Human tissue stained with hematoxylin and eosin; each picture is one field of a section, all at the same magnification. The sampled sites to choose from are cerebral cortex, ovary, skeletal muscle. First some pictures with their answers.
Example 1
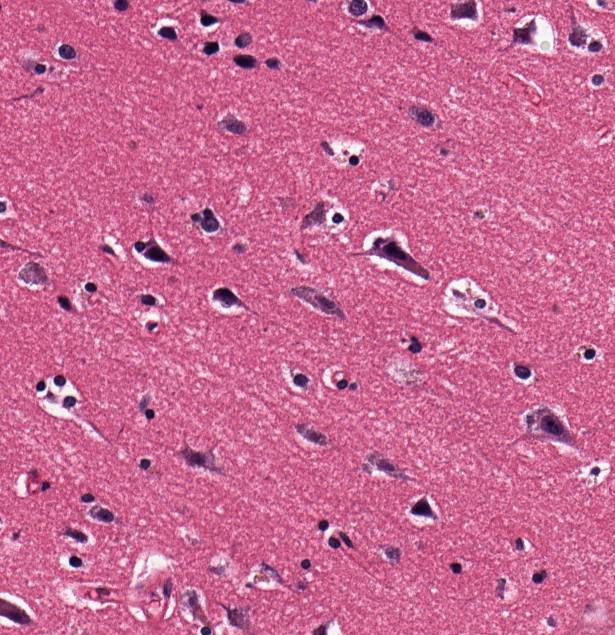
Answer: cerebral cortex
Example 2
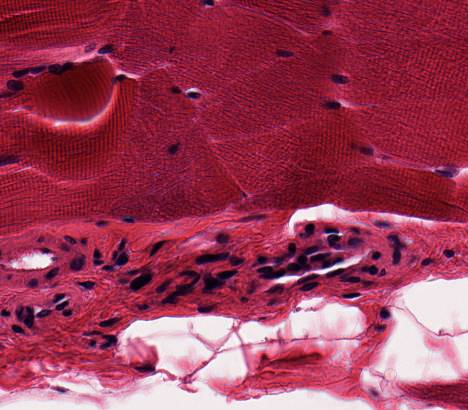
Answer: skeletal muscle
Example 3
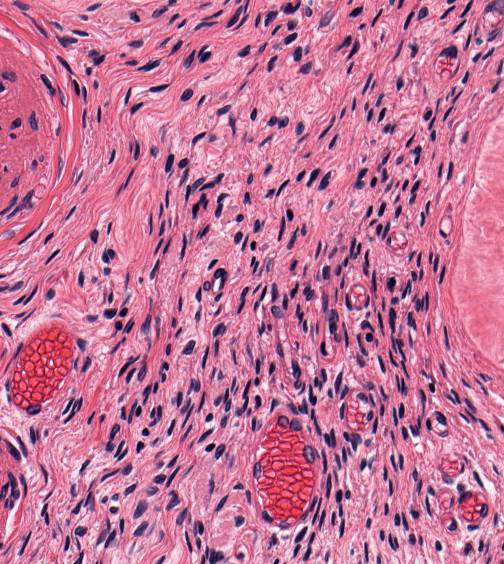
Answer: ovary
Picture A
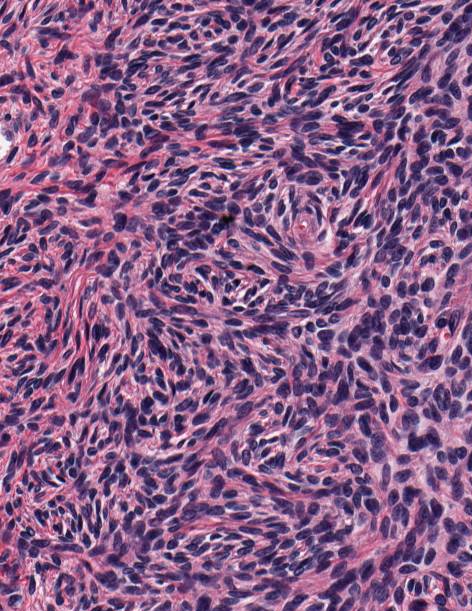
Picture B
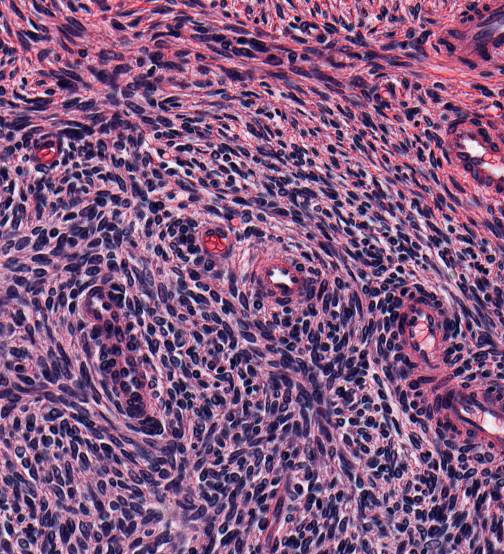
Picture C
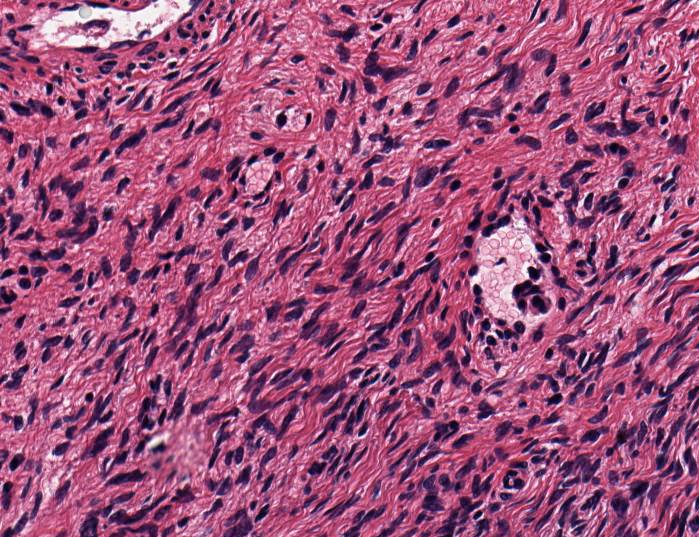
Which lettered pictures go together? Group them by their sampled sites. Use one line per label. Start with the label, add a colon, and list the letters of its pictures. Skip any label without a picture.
ovary: A, B, C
